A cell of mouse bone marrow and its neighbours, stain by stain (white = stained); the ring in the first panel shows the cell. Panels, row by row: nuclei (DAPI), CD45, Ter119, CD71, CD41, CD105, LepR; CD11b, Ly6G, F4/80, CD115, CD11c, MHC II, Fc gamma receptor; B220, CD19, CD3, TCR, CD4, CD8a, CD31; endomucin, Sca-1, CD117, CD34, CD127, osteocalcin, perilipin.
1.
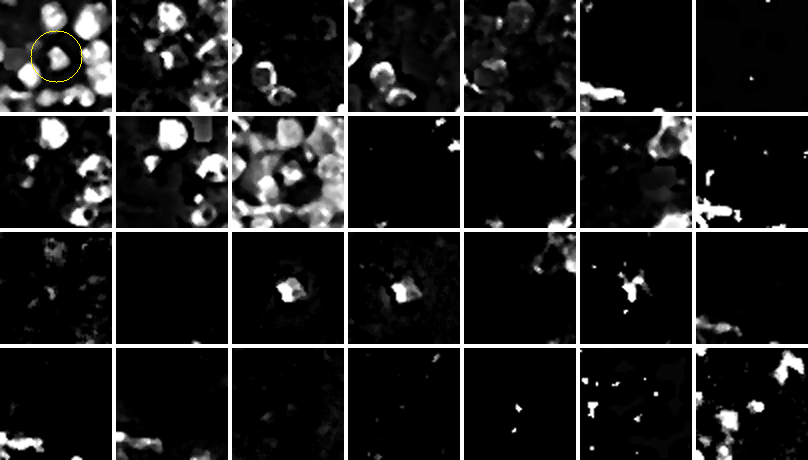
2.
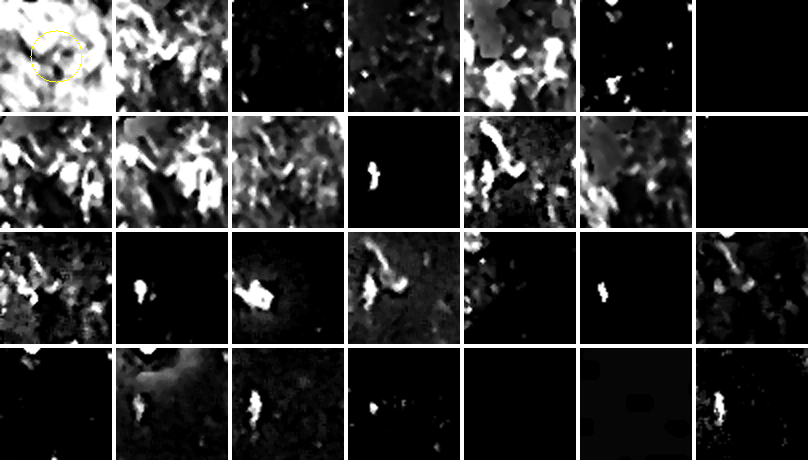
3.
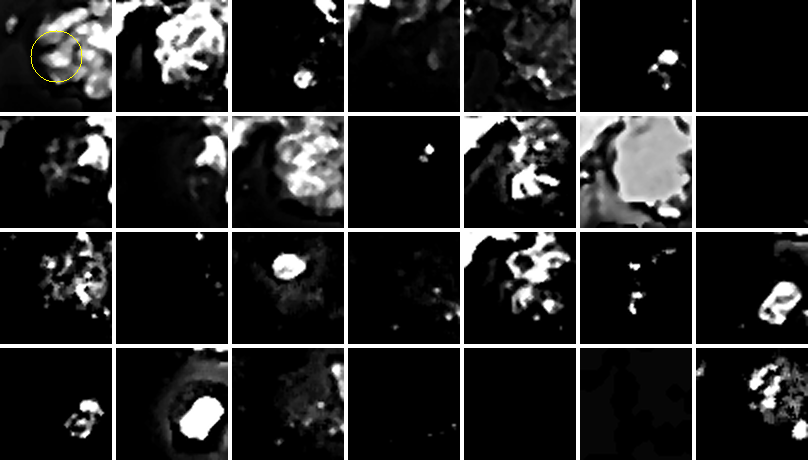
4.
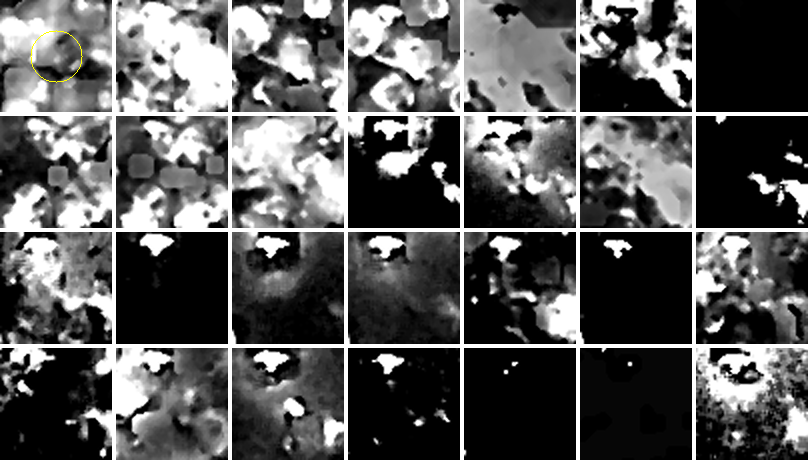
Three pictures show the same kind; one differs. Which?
Picture 1: a CD8 T cell, while the others are conventional dendritic cells.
